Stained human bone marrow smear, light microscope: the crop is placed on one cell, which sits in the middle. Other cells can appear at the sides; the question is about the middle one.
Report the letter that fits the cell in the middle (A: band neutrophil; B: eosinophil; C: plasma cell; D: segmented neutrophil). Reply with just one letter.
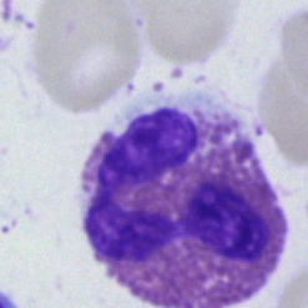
B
